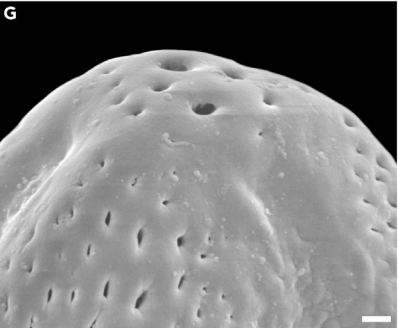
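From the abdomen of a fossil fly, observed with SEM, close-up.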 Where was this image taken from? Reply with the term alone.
Polar area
